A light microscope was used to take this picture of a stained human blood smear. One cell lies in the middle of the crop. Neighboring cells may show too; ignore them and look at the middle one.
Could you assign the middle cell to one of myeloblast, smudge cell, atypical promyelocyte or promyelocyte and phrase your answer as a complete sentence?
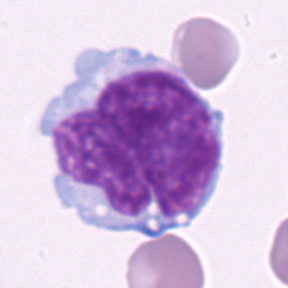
This crop has a myeloblast at its centre.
